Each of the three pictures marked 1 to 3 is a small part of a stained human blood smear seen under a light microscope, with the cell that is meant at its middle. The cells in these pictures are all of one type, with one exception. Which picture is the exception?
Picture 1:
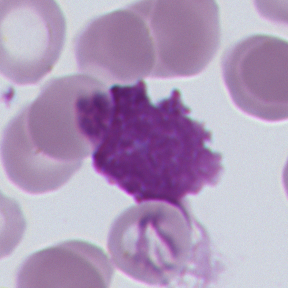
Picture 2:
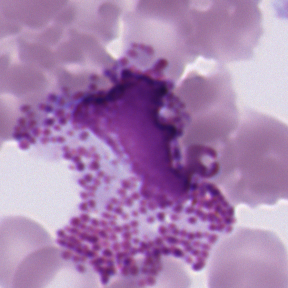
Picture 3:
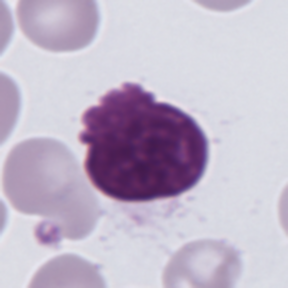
2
